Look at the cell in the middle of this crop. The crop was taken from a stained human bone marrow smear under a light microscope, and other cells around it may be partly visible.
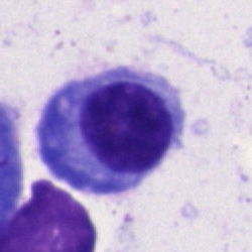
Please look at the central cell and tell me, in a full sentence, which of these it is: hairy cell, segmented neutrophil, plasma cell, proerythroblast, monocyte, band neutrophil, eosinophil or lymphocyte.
Regarding the central cell, it is a plasma cell.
